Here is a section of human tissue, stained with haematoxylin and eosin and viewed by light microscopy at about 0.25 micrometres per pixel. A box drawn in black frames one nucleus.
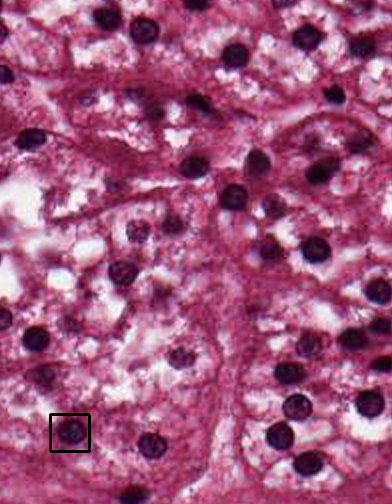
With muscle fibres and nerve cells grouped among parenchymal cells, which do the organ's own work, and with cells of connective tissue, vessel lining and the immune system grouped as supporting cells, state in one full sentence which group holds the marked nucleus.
The cell bearing the marked nucleus is a parenchymal cell, namely an adrenal cortical cell.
